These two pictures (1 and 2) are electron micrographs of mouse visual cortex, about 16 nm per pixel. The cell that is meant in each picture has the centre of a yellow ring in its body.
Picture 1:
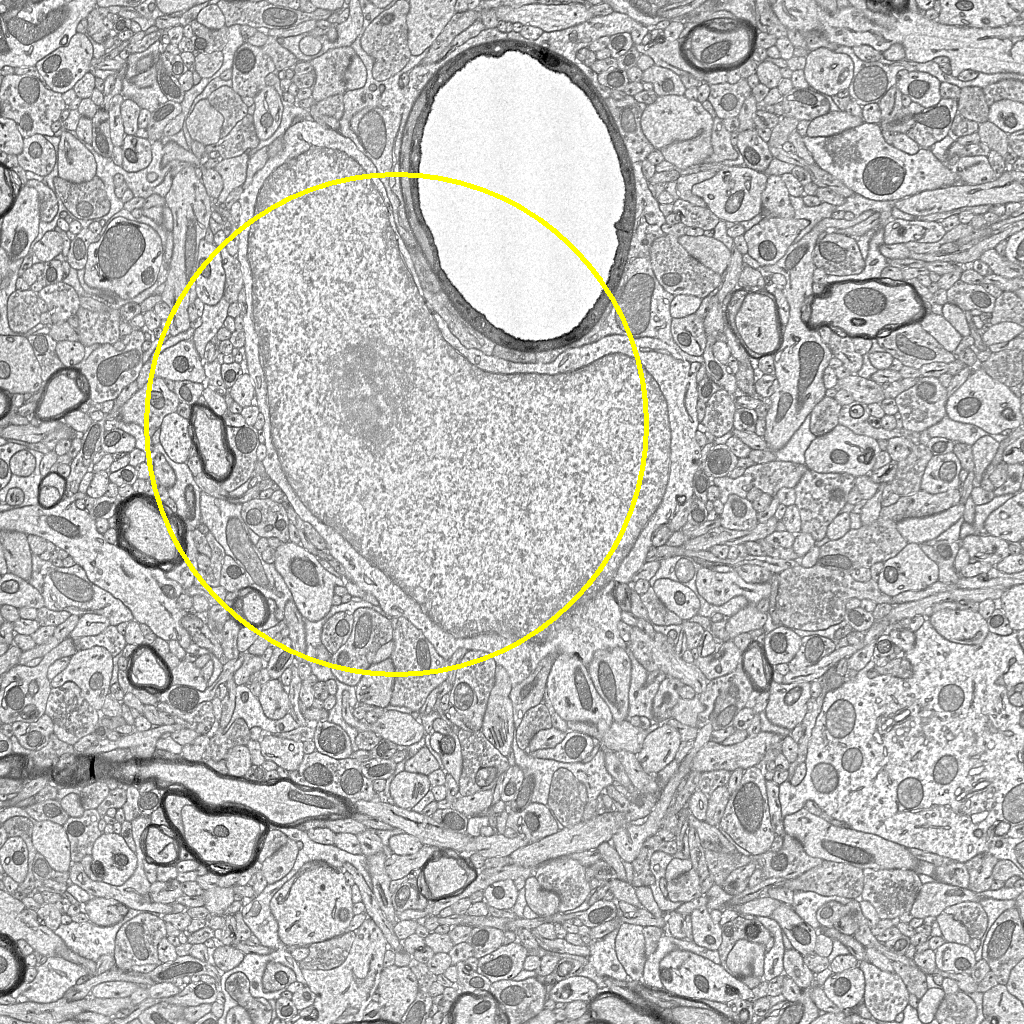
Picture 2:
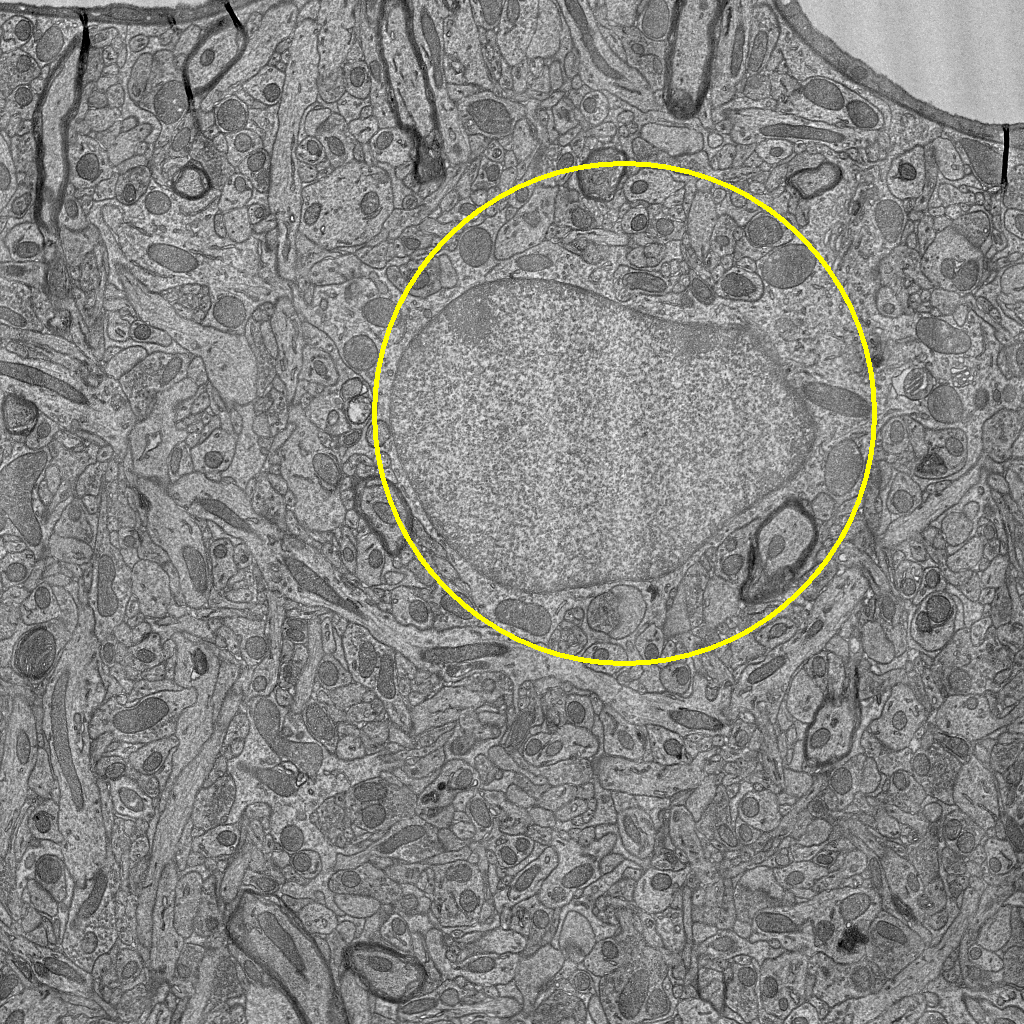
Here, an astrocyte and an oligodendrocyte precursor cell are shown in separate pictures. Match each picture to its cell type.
Picture 2 shows an astrocyte, while picture 1 shows an oligodendrocyte precursor cell.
